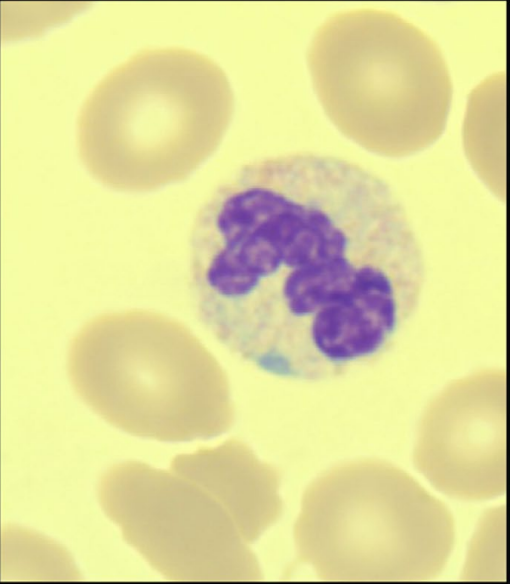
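Here a neutrophil from a peripheral blood smear sits among pale, round red blood cells, several showing a lighter central area. The nucleus is dark purple and segmented into several lobes lying in a curved, chain-like row, with coarse clumped chromatin. The surrounding cytoplasm is pale with fine pinkish granules spread evenly through it. At the lower left rim of the cytoplasm lies a small blue-green body, clearly different in colour from the granules around it. This blue-green inclusion within an otherwise ordinary-looking neutrophil is the abnormal finding to look for.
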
